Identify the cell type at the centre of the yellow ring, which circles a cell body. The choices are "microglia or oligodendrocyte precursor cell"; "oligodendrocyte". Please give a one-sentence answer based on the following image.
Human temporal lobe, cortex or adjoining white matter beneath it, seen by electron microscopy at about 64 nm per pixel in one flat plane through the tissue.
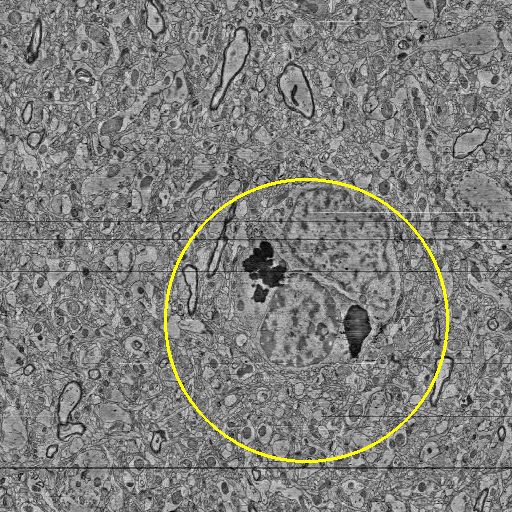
The cell marked by the ring is an oligodendrocyte.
